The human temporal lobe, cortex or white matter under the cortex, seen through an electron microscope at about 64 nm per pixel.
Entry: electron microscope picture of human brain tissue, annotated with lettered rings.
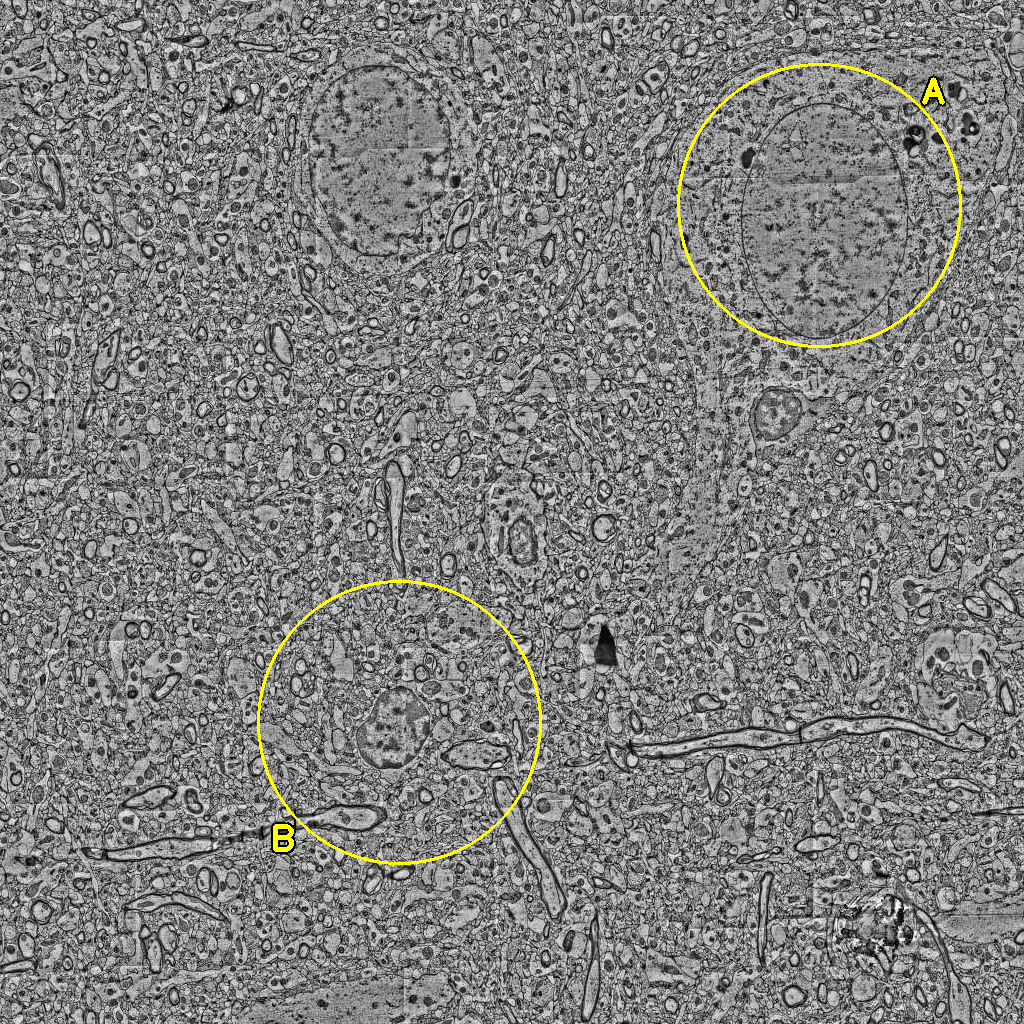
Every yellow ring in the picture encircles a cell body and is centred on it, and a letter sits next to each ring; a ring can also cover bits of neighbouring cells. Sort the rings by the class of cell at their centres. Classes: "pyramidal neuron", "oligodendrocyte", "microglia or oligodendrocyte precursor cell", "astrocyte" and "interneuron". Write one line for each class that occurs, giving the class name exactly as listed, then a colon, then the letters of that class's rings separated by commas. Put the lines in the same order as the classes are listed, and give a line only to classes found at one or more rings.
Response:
pyramidal neuron: A
microglia or oligodendrocyte precursor cell: B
